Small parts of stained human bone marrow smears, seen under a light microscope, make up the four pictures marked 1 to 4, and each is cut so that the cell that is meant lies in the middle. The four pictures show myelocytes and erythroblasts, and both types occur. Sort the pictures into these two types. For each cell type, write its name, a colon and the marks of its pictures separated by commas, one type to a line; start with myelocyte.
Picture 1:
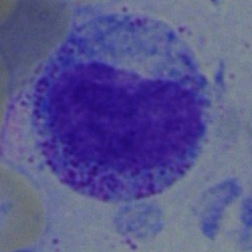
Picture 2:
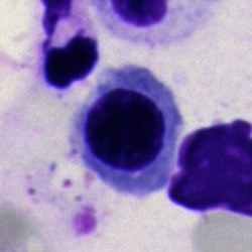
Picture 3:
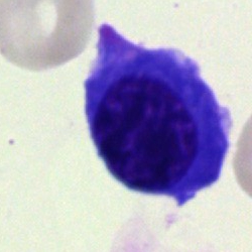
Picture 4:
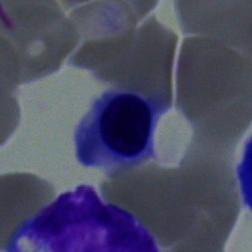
myelocyte: 1
erythroblast: 2, 3, 4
